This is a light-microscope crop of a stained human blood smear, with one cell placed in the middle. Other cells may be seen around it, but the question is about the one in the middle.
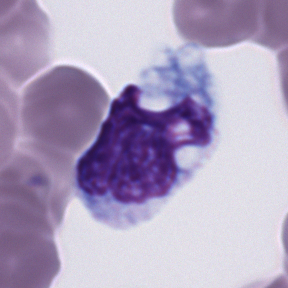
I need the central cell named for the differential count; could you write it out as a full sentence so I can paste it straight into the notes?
By type, the central cell of the crop is a monocyte.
